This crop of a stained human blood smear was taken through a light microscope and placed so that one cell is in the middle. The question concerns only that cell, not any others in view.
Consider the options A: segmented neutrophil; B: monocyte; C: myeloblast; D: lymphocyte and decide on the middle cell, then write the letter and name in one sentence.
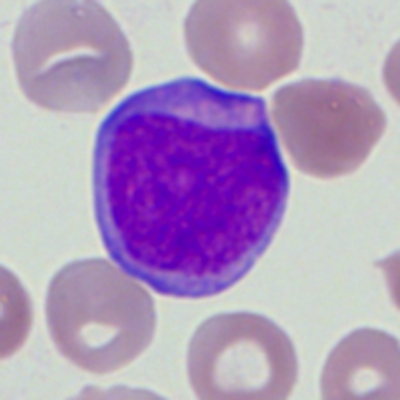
In this crop the middle cell is a myeloblast, so option C is the correct answer.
